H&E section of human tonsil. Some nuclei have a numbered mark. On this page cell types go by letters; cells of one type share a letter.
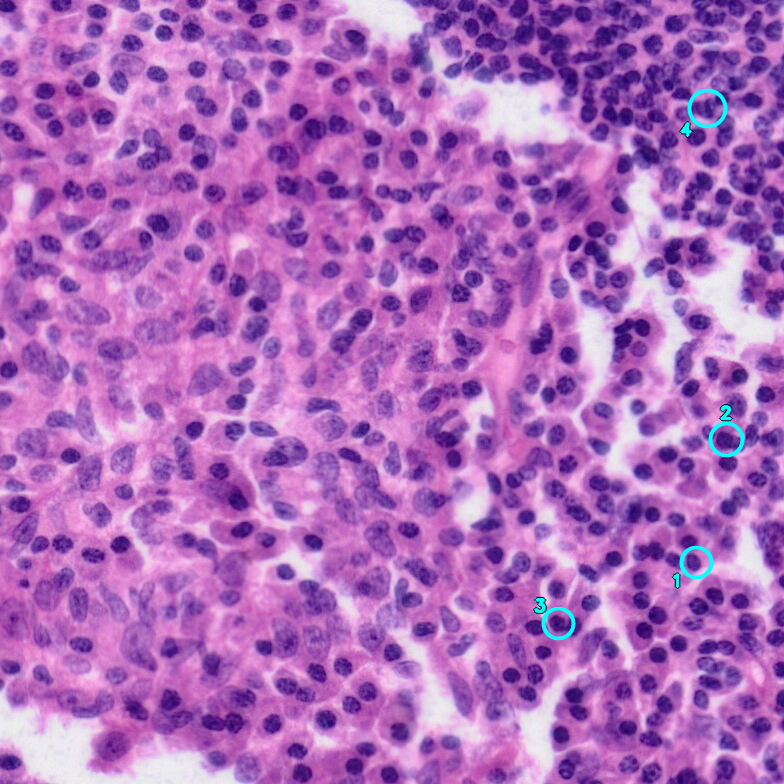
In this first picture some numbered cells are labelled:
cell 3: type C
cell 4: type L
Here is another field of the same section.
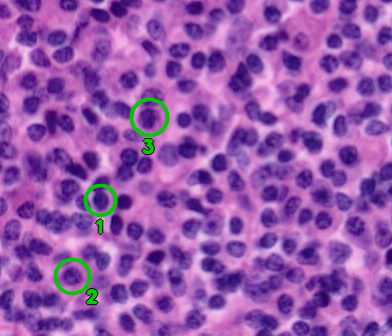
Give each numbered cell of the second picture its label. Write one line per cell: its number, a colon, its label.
1: type L
2: type C
3: type C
